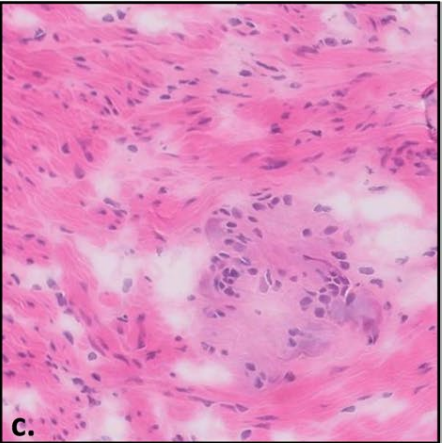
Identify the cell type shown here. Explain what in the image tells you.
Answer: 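A nest of large cells with ample purple-grey cytoplasm near the center. Their round nuclei contrast with the elongated nuclei of the surrounding spindle cells. The nest is surrounded by intensely pink fibrous tissue. That points to this answer: ganglion cells.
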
